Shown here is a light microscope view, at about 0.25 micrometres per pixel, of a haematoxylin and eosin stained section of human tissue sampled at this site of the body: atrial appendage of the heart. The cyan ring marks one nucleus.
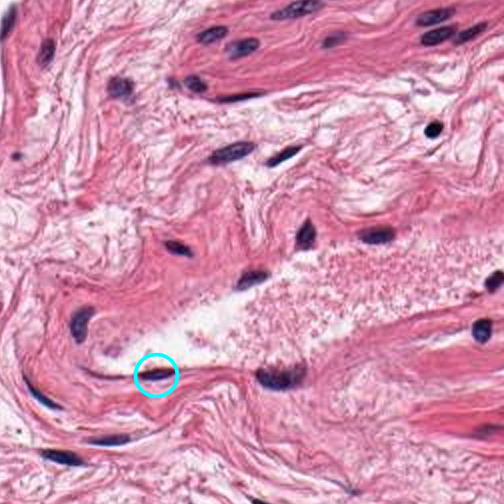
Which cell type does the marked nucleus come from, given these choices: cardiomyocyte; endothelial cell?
endothelial cell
